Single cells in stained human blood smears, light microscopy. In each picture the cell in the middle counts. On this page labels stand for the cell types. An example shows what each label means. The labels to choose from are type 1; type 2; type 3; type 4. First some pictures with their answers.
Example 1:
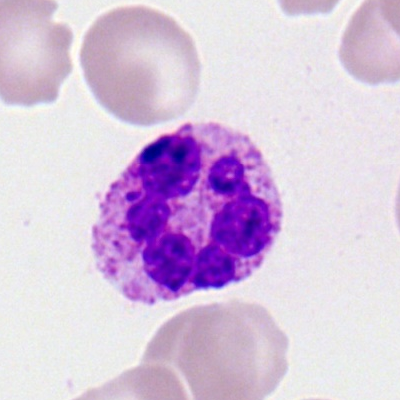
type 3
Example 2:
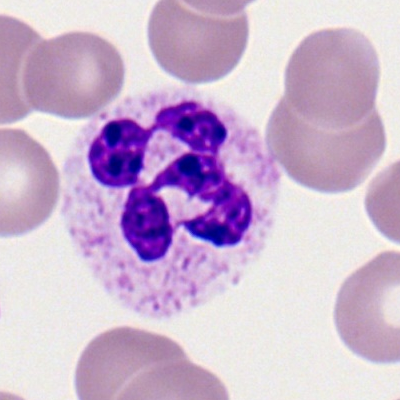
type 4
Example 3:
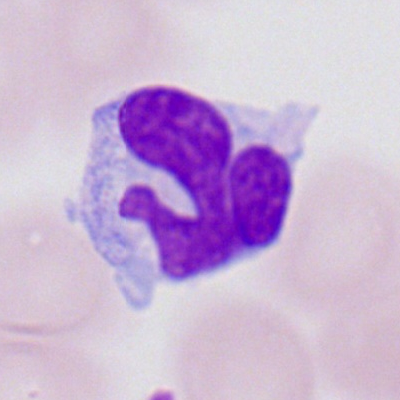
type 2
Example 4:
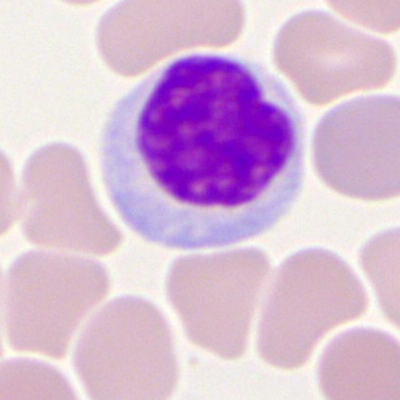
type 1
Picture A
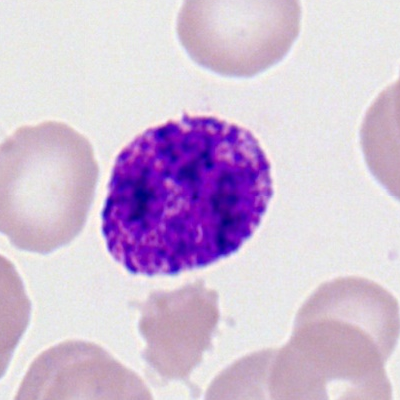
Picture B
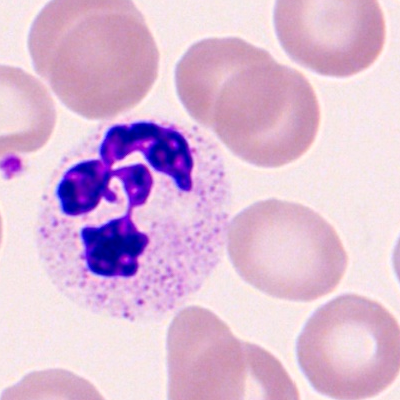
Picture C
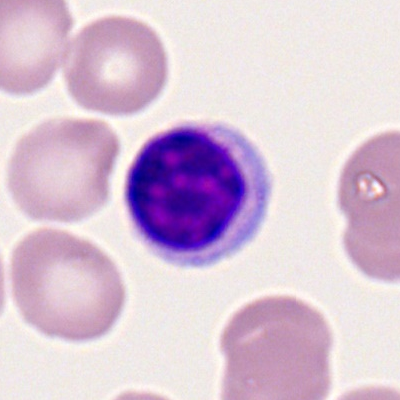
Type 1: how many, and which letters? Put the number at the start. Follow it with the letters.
Count: 1 (C)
